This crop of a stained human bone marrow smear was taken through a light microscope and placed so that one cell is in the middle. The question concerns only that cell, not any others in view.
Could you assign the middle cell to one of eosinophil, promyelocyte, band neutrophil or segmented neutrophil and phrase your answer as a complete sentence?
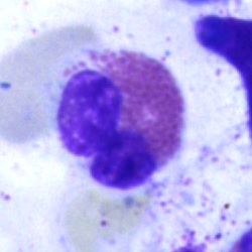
The centrally located cell in the crop is an eosinophil.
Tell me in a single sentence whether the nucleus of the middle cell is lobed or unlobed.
The nucleus is divided into two or more distinct lobes.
